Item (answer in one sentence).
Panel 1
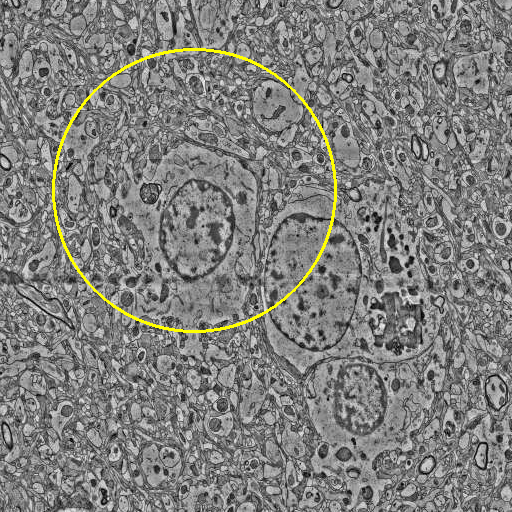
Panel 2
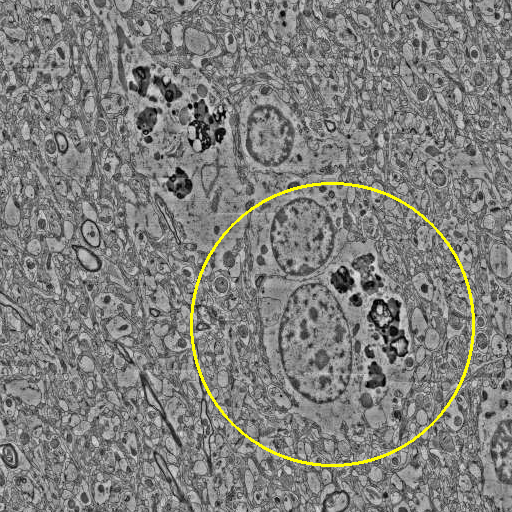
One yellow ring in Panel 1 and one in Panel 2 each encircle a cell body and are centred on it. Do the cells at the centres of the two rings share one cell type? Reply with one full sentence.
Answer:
Yes, Panel 1 and Panel 2 show cells of one type at the centres of their rings.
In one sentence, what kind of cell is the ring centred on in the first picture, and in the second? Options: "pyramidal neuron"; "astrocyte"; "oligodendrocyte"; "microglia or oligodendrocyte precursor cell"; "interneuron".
The second cell is an astrocyte, just as the first is.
